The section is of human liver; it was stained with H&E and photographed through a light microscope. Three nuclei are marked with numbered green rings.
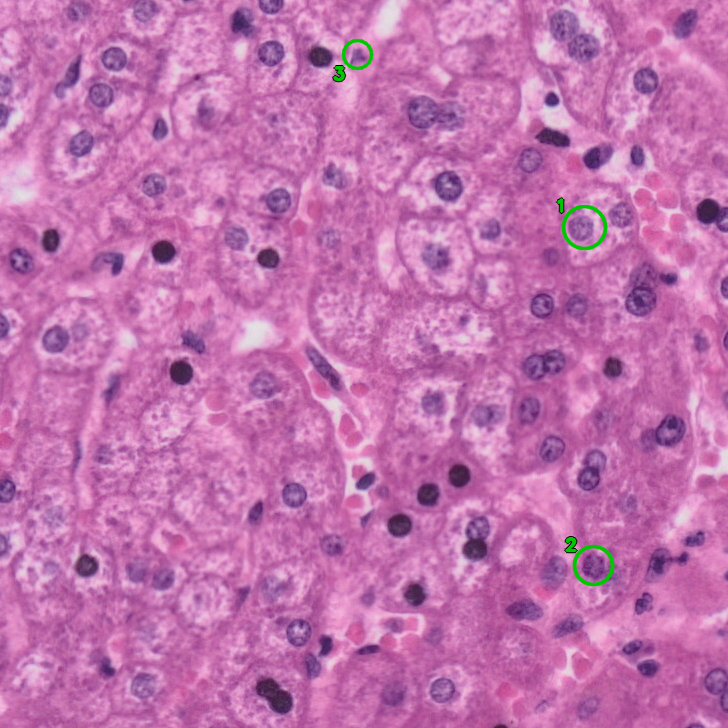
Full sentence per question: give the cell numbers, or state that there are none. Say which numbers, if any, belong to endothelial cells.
Only cell 3 qualifies as an endothelial cell among the numbered cells.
